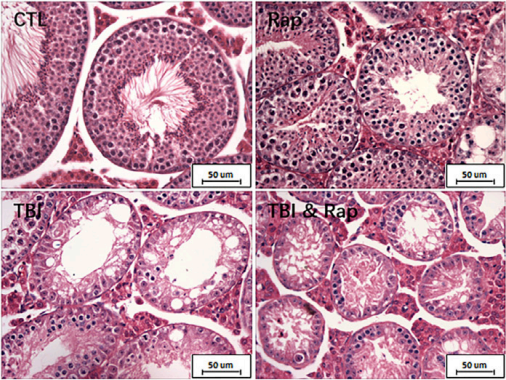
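Cross-sections of testis show seminiferous tubules separated by interstitial tissue, stained purple-blue for nuclei and pink for cytoplasm. In some tubules a thick, many-layered epithelium of germ cells surrounds a lumen filled with pale sperm tails, while in others the epithelium is thin and vacuolated with few germ cell layers and wide empty or loosely filled lumens. Between the tubules lie clusters of pink-staining interstitial cells.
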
